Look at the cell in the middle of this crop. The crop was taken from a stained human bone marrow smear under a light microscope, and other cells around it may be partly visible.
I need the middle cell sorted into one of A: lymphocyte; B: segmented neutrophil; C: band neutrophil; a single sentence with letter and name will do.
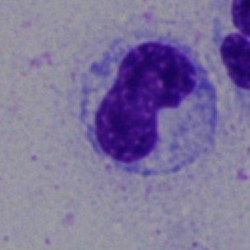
Correctly, option C names the cell in the middle a band neutrophil.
